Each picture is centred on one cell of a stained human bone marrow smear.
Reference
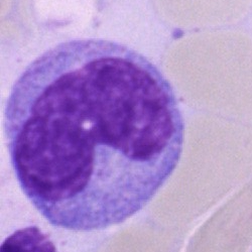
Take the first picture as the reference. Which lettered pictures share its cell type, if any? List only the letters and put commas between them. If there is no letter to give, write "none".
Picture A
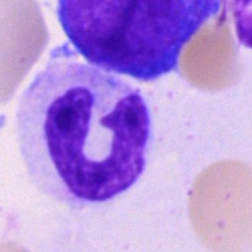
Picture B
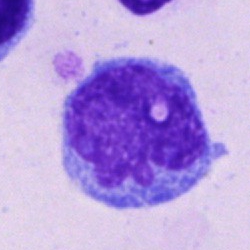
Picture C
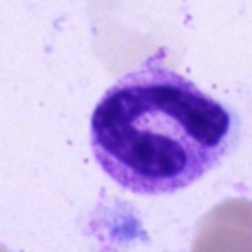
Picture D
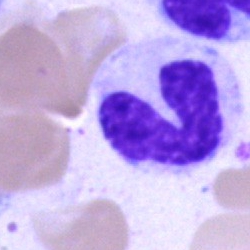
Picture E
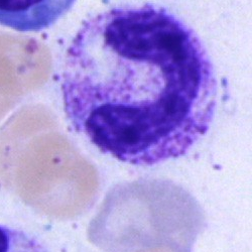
B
